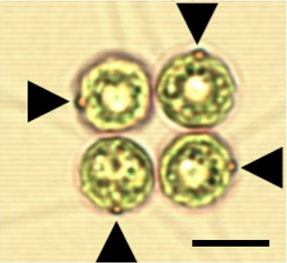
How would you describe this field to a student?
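This is a single colony of four rounded green algal cells lying in a square, each touching its neighbours. Each cell has yellow-green granular contents with a paler area near its centre and a thin clear outer boundary. At the edge of every cell a tiny orange-red dot can be seen, the eyespot, one per cell, and the arrowheads point to these dots. The eyespots face outward in different directions around the group.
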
